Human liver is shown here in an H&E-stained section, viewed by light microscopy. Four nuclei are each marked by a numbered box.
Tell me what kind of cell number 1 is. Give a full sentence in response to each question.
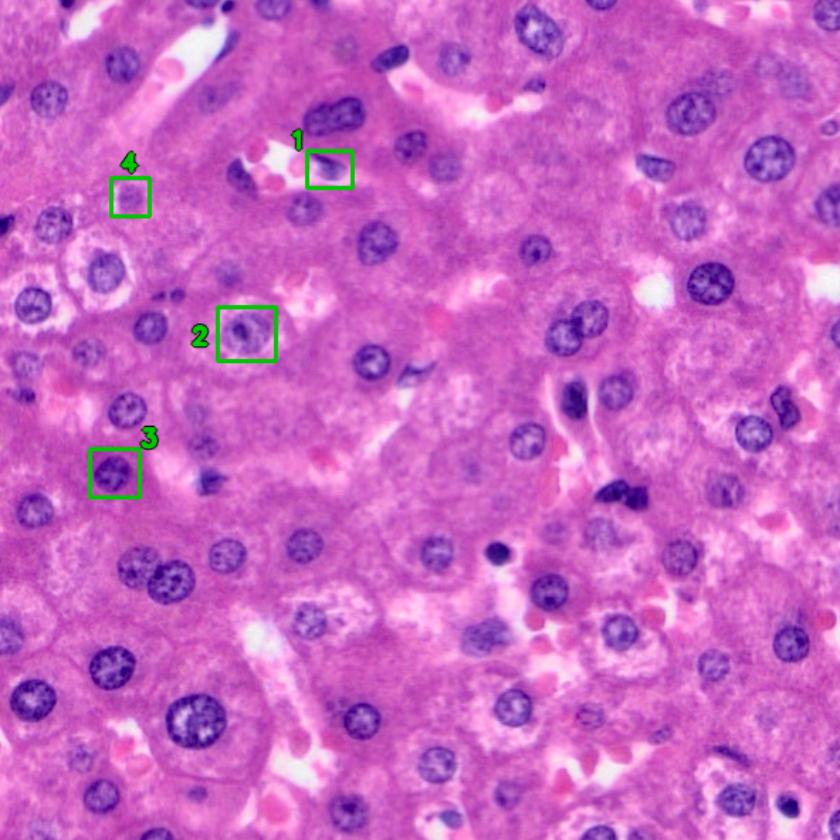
Looking at the numbered marks, cell 1 is an endothelial cell.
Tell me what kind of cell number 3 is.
Within this field of view, the cell labelled 3 is a hepatocyte.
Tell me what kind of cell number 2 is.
The nucleus labeled 2 belongs to a hepatocyte.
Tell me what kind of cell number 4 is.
The identity of cell 4 is that of a hepatocyte.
